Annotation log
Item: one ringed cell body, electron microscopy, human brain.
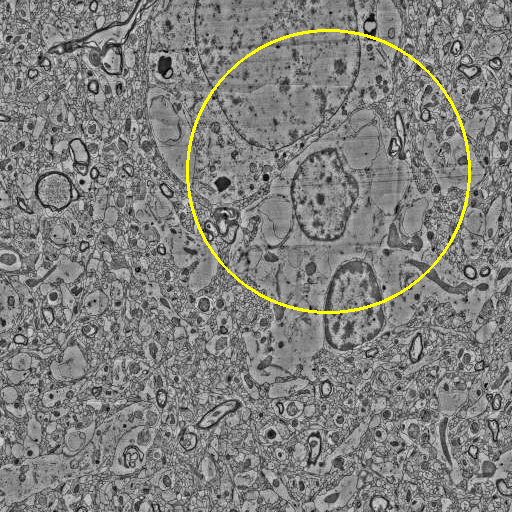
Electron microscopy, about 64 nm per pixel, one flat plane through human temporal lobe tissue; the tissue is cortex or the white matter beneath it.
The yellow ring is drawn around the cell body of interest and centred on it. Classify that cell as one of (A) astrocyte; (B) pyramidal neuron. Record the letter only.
A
